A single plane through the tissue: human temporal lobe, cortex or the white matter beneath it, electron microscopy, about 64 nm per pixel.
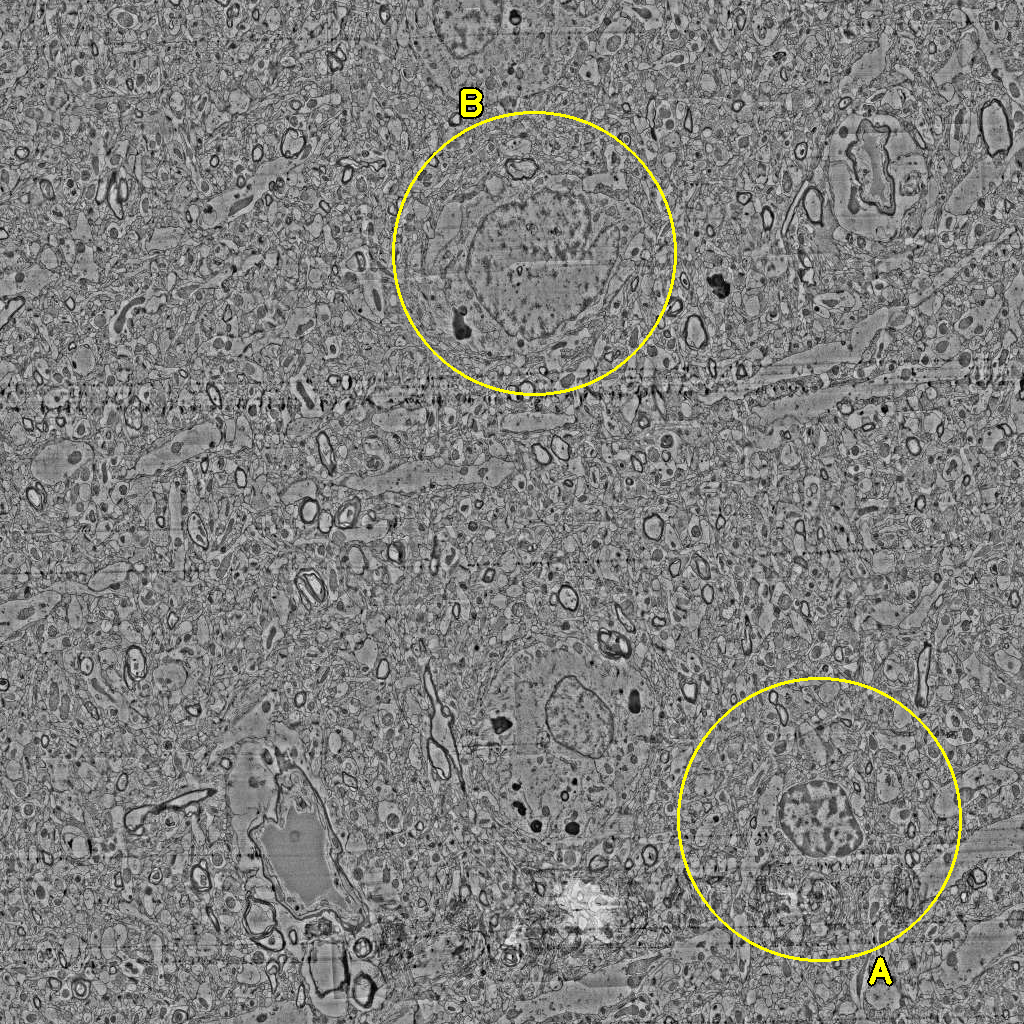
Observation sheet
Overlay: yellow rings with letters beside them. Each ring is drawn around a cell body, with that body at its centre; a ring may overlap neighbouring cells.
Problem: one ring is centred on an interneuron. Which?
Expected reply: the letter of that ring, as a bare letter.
B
